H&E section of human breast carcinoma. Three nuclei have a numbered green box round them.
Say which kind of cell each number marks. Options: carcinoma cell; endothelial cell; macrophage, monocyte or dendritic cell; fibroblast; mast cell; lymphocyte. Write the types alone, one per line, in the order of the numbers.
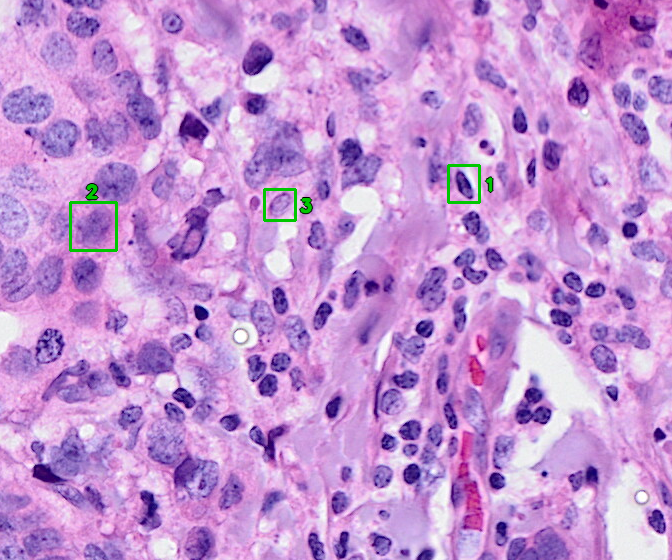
lymphocyte
carcinoma cell
macrophage, monocyte or dendritic cell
